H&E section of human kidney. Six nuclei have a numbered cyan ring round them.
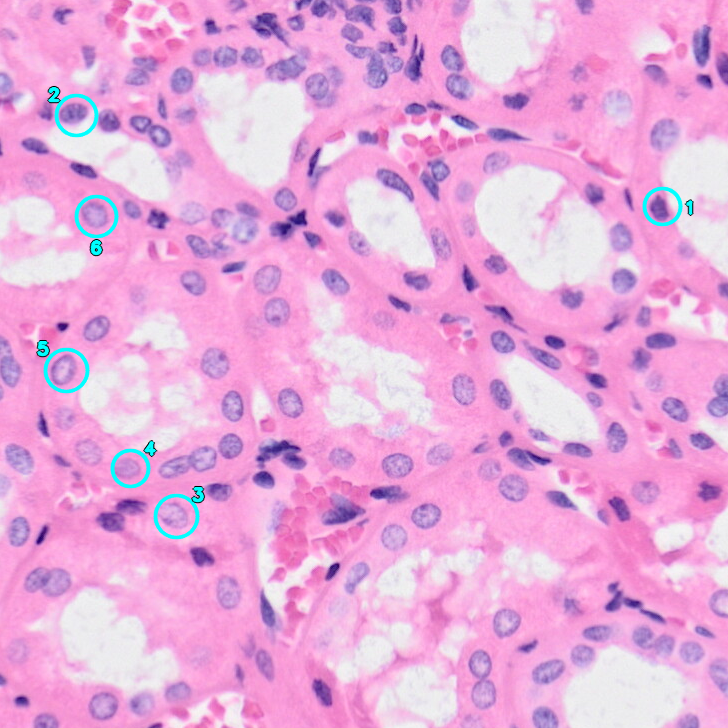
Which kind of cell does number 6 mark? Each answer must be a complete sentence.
The cell pointed out as number 6 is a proximal tubule cell.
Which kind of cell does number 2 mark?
The correct answer for cell 2 is a collecting duct cell.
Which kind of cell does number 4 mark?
The cell carrying label 4 is identified as a proximal tubule cell.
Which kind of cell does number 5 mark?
Denoted by the label 5 in the section is a proximal tubule cell.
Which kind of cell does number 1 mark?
The cell that goes by number 1 is a loop of Henle or distal tubule cell.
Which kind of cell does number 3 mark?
The cell numbered 3 has been identified as a proximal tubule cell.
